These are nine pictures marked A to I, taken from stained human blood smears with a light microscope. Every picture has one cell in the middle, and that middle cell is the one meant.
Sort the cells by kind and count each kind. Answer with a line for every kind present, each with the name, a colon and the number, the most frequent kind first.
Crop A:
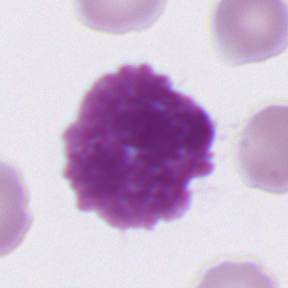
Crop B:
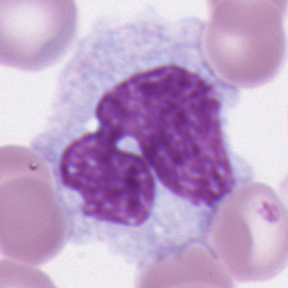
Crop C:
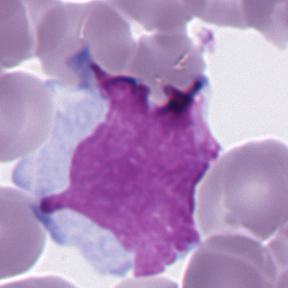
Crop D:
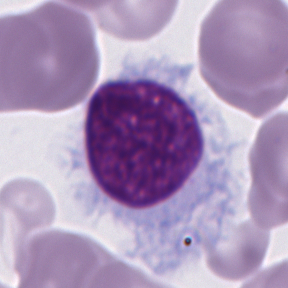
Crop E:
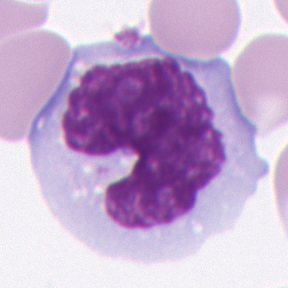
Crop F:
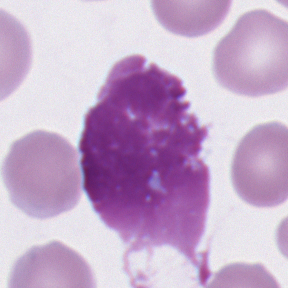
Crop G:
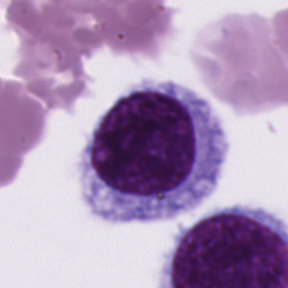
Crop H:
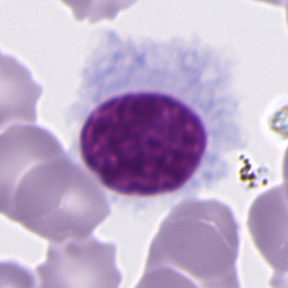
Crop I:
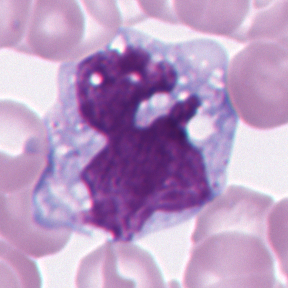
monocyte: 4
hairy cell: 3
smudge cell: 2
